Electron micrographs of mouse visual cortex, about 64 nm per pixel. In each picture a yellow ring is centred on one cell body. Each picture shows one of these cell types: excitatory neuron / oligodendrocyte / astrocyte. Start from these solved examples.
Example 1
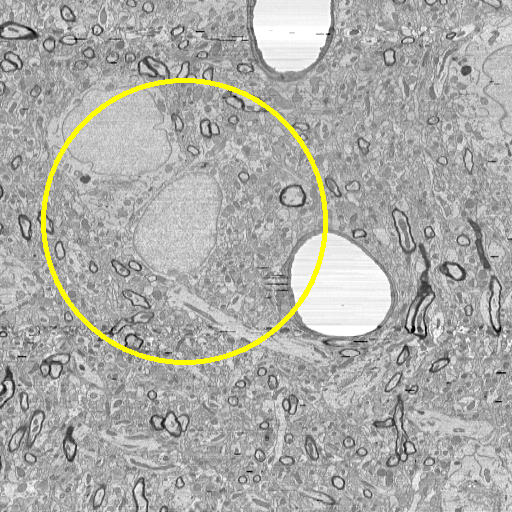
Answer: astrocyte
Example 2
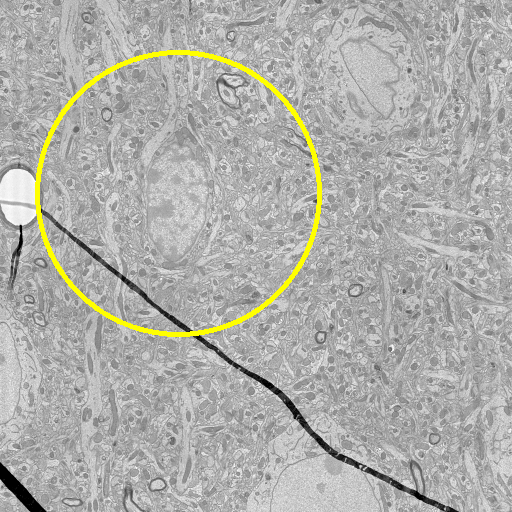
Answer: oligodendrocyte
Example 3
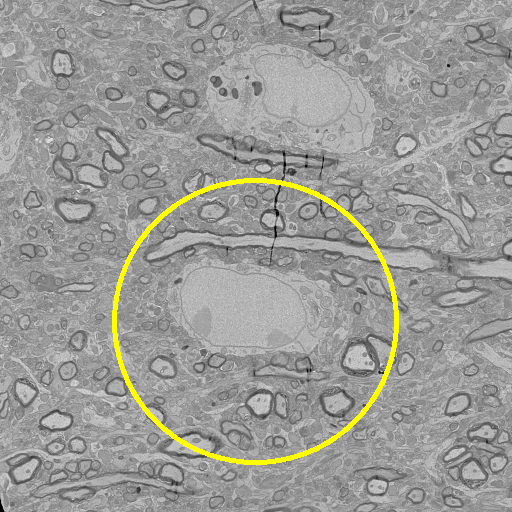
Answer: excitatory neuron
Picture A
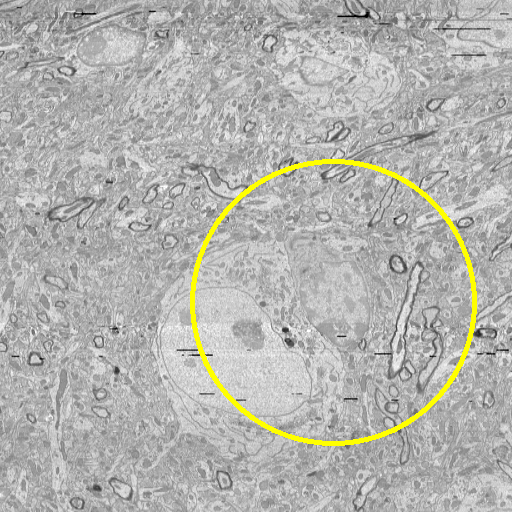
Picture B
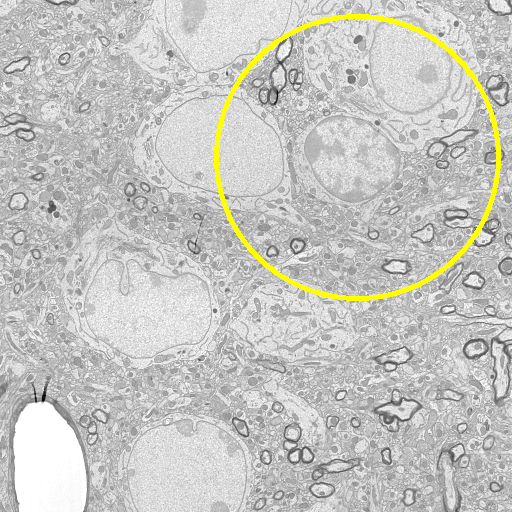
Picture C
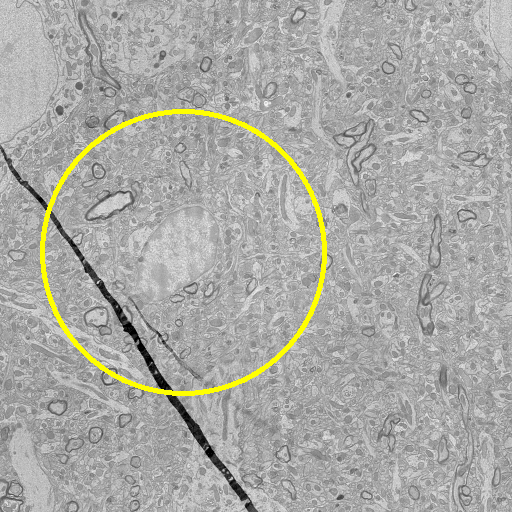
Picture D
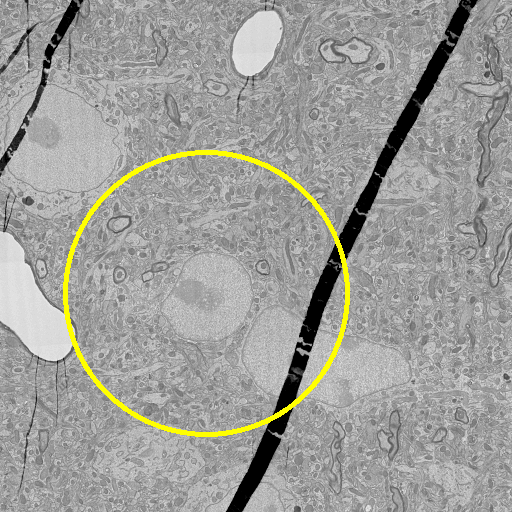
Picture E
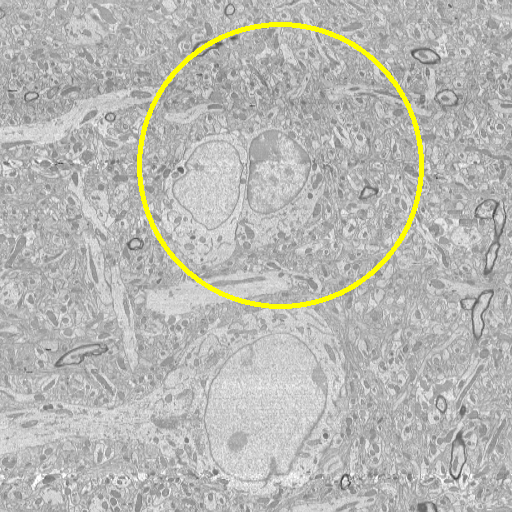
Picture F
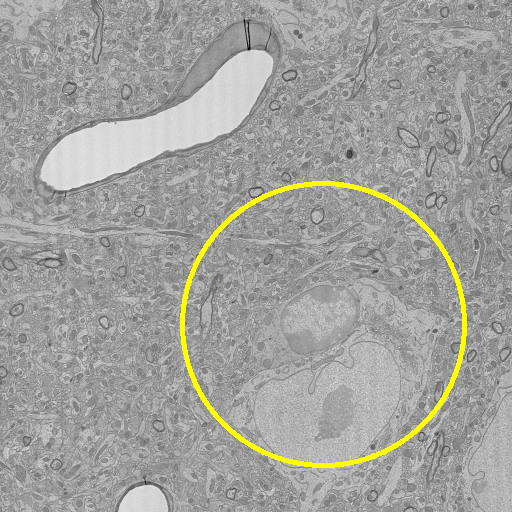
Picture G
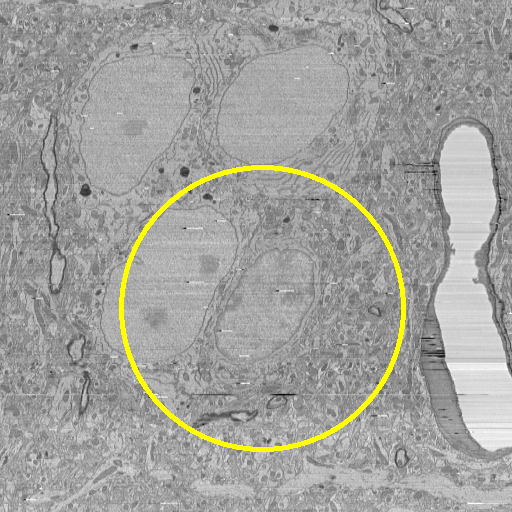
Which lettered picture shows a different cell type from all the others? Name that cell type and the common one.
D: astrocyte; all the others: oligodendrocyte.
